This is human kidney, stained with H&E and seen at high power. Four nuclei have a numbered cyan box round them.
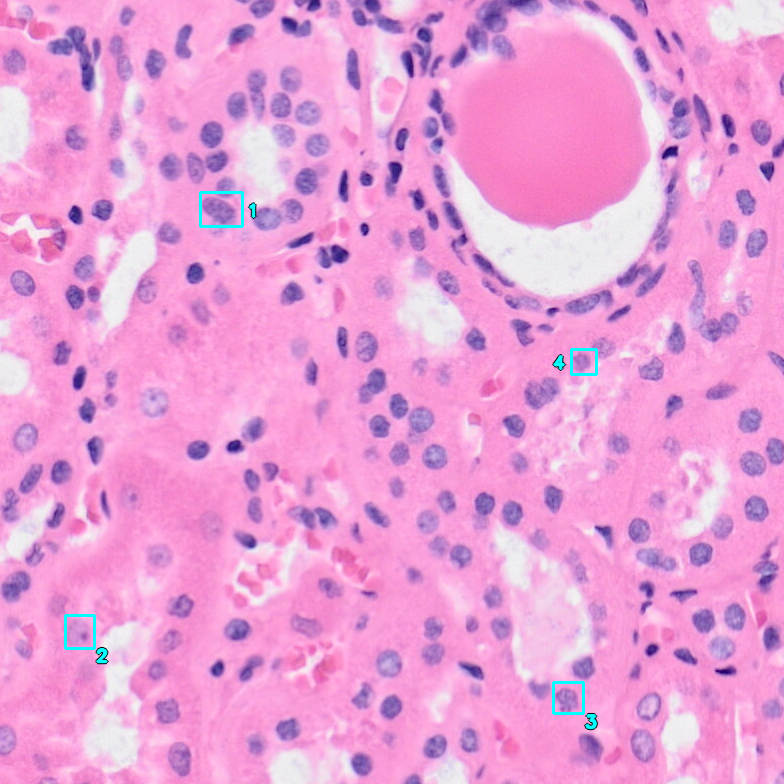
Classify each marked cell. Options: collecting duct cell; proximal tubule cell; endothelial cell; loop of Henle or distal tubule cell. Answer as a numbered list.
1. collecting duct cell
2. proximal tubule cell
3. loop of Henle or distal tubule cell
4. loop of Henle or distal tubule cell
